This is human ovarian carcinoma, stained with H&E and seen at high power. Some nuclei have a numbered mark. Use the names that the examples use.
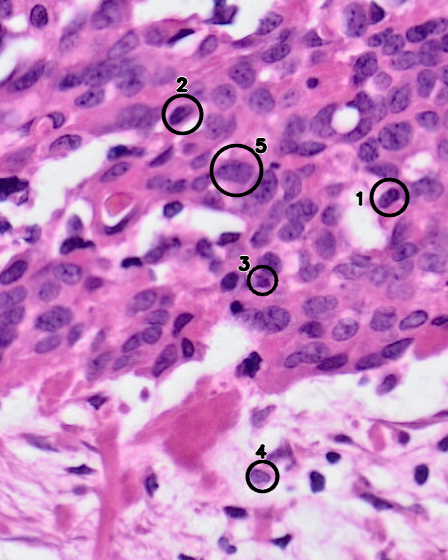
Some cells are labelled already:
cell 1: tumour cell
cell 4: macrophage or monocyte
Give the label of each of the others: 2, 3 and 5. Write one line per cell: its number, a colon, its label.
2: macrophage or monocyte
3: tumour cell
5: tumour cell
